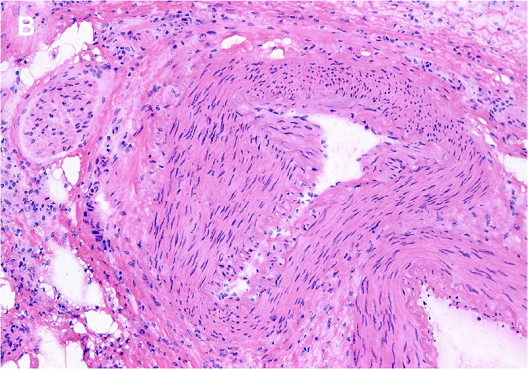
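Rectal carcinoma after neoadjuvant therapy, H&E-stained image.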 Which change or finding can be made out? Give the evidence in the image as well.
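Blood vessel hyperplasia. A large vessel with a very thick wall of spindle cells fills the panel. The lumen is narrow and irregular relative to the wall thickness.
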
